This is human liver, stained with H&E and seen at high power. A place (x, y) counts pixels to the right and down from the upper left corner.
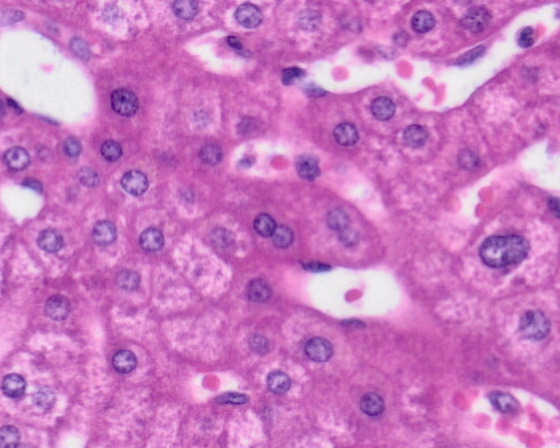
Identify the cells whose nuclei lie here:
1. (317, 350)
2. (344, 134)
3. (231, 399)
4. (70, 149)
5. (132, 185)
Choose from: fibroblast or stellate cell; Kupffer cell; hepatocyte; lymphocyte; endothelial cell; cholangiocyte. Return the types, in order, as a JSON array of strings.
["hepatocyte", "hepatocyte", "Kupffer cell", "cholangiocyte", "hepatocyte"]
